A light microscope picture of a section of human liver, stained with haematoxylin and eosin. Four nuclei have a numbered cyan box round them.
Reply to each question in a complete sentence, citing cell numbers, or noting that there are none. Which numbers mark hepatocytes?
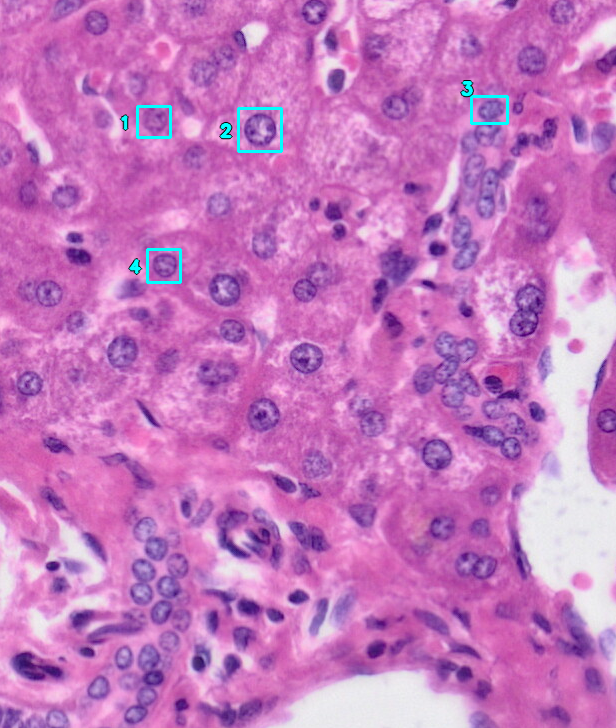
Cells numbered 1, 2 and 4 belong to the group of hepatocytes.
